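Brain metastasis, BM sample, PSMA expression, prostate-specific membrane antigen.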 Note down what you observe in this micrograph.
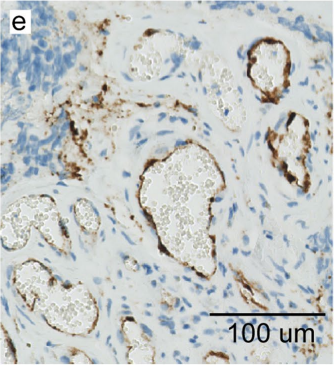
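Tumour tissue with numerous small blood vessels, whose walls are outlined by a thin, dark brown rim of stain. The vessel lumens are round to irregular and filled with pale red blood cells. Between the vessels lie elongated blue nuclei in a pale loose stroma, and a dense cluster of blue tumour cell nuclei at one corner is unstained.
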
